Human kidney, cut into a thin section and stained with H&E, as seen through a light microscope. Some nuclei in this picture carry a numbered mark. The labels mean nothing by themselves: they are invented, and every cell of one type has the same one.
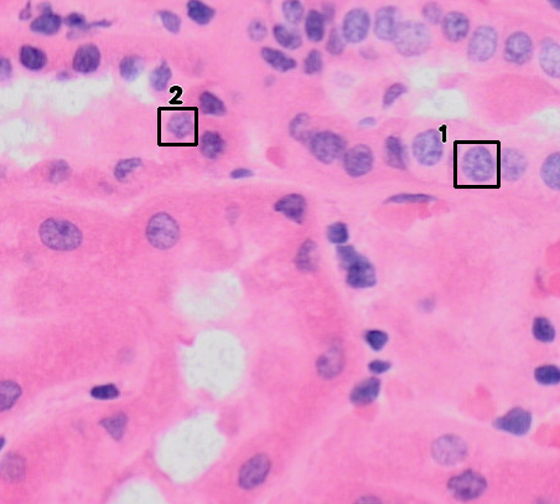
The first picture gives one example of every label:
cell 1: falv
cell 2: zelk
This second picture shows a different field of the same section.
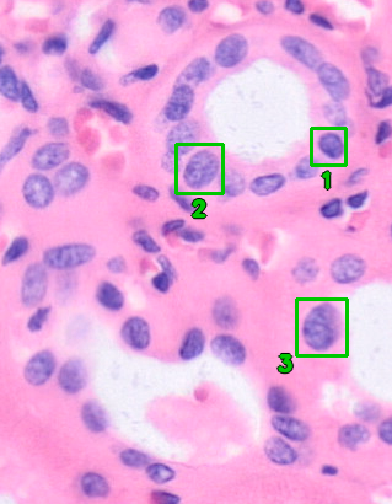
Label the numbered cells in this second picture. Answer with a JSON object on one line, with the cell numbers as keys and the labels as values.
{"1": "falv", "2": "falv", "3": "zelk"}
